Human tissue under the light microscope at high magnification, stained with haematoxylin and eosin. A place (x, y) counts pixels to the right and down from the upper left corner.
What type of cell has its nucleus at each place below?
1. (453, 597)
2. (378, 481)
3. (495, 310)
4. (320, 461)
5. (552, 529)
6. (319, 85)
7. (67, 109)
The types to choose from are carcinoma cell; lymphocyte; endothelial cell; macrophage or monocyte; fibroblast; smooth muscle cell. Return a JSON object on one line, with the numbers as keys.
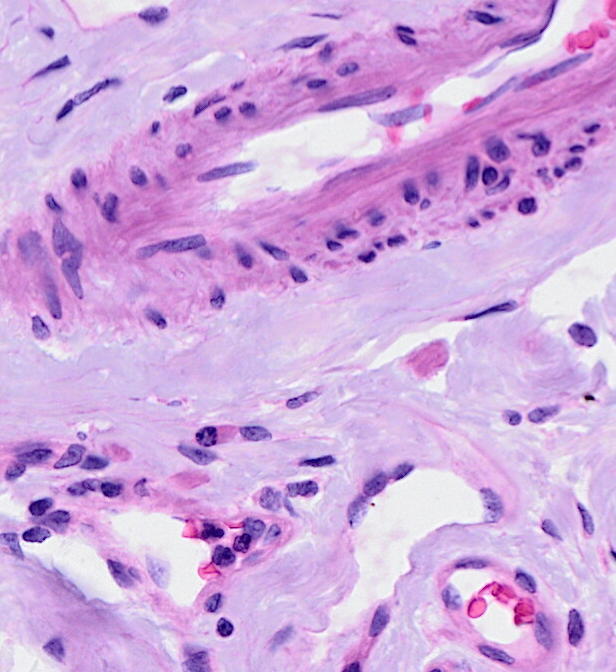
{"1": "endothelial cell", "2": "endothelial cell", "3": "fibroblast", "4": "fibroblast", "5": "fibroblast", "6": "smooth muscle cell", "7": "fibroblast"}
